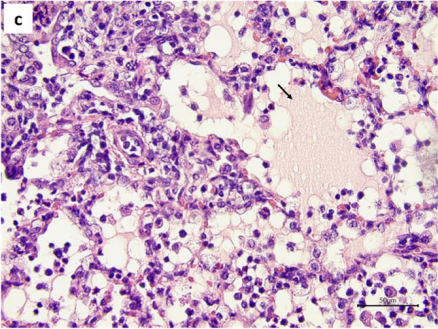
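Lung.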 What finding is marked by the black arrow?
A: Amorphous and acidophilic material.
